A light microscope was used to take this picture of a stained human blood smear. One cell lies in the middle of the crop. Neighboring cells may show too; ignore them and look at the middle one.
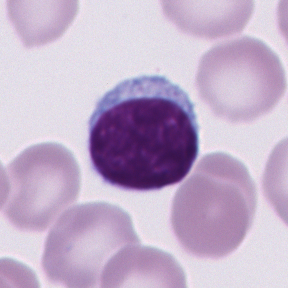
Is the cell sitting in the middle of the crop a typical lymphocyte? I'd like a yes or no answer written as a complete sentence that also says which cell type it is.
Yes, that middle cell in the crop is a typical lymphocyte.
